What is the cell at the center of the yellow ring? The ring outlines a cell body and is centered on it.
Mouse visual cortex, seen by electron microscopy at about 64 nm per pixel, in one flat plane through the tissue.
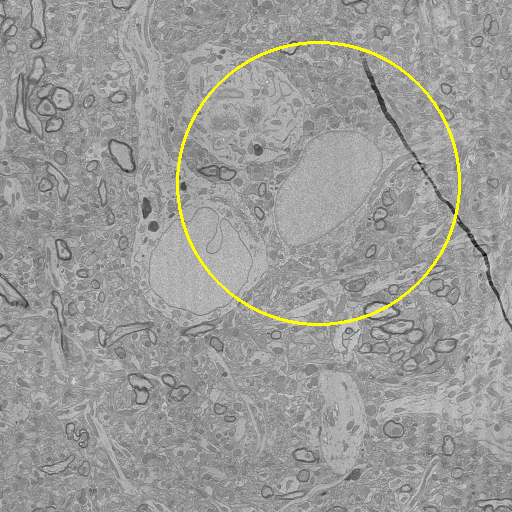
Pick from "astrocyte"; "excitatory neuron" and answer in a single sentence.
The yellow ring is centered on an astrocyte.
